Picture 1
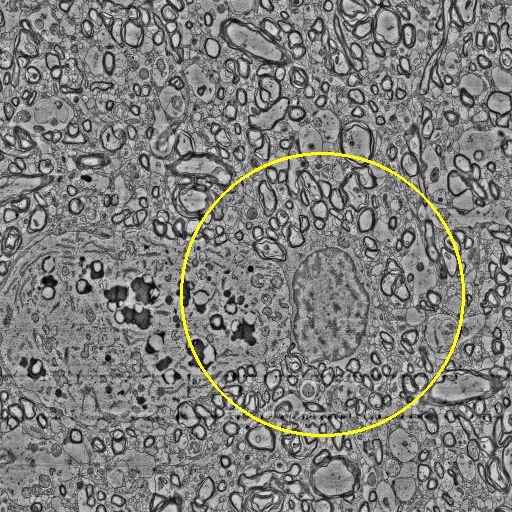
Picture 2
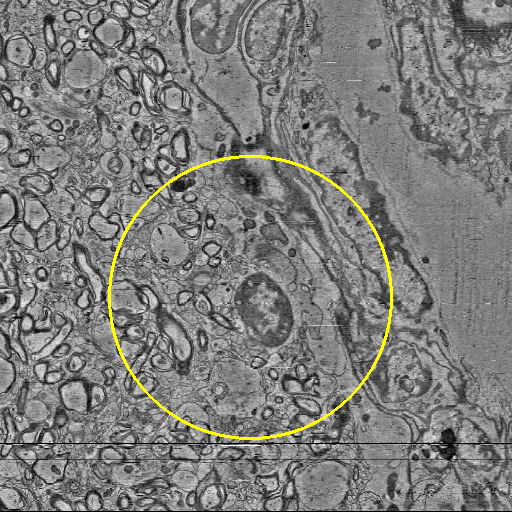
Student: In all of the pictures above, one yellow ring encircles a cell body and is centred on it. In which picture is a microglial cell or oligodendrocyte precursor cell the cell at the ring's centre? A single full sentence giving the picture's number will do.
Picture number 2 has the wanted cell right at the centre of its ring.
